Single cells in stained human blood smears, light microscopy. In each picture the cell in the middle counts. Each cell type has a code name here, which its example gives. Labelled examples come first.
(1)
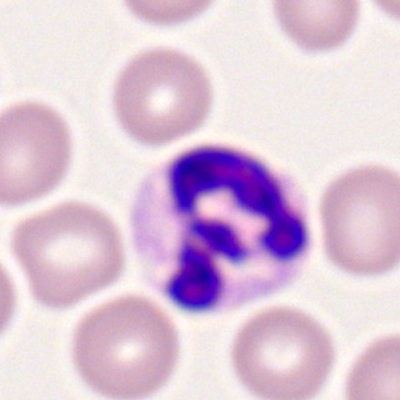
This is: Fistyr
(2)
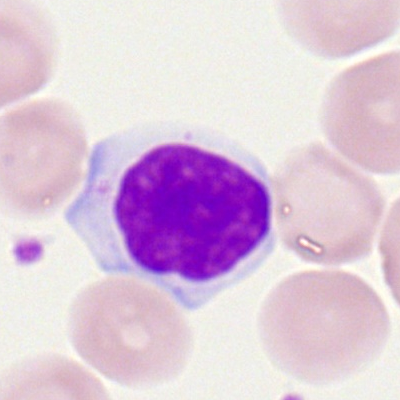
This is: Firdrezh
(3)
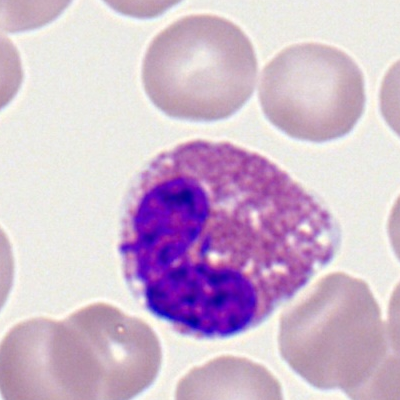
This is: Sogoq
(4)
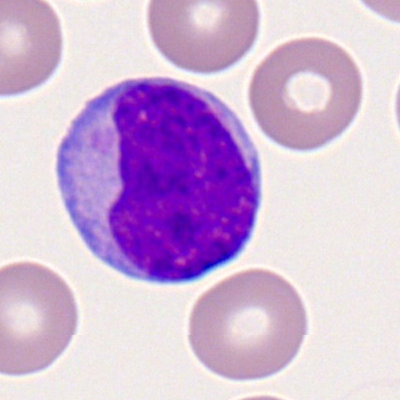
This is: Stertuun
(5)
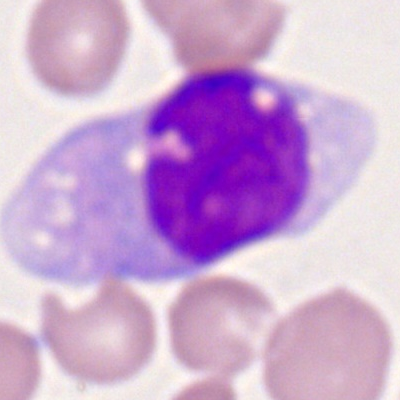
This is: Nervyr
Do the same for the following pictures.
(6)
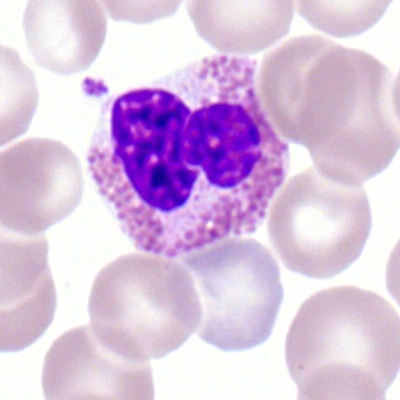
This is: Sogoq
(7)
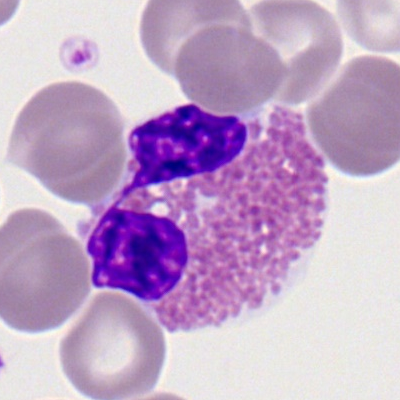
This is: Sogoq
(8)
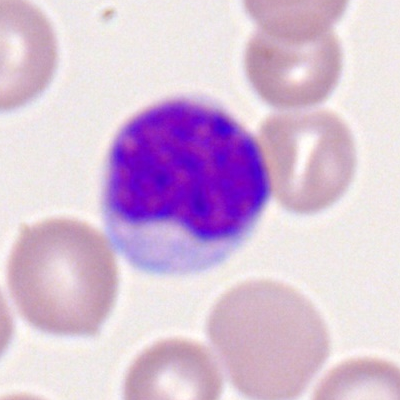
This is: Firdrezh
